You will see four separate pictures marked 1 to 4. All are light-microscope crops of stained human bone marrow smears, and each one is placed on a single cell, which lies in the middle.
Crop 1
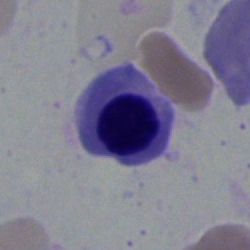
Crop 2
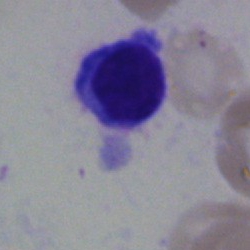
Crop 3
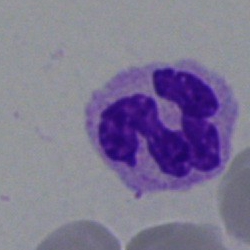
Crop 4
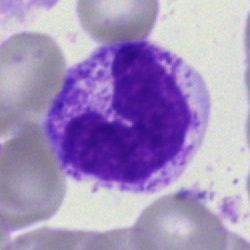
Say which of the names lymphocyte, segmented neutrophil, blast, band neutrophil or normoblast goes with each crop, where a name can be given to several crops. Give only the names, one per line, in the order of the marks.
normoblast
lymphocyte
segmented neutrophil
band neutrophil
